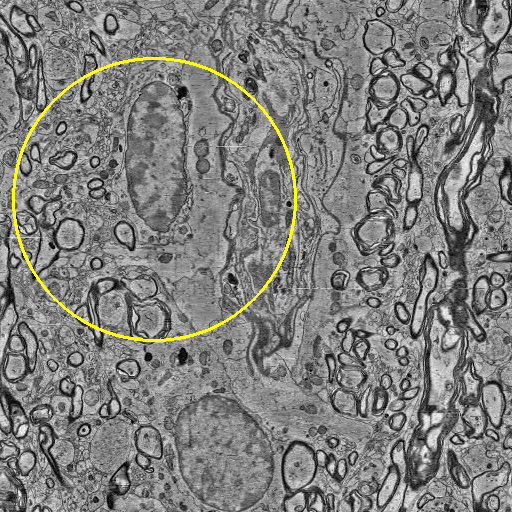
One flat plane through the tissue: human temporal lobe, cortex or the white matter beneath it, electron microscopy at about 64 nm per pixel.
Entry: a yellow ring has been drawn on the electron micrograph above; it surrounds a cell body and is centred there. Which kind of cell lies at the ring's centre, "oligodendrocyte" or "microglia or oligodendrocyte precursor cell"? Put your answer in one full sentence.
The cell sitting at the ring's centre is a microglial cell or oligodendrocyte precursor cell in the micrograph above.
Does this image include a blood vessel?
Yes.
